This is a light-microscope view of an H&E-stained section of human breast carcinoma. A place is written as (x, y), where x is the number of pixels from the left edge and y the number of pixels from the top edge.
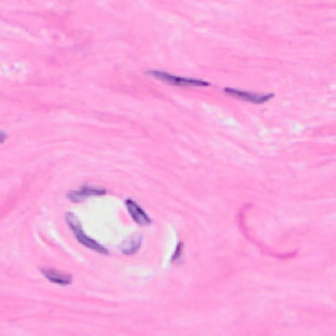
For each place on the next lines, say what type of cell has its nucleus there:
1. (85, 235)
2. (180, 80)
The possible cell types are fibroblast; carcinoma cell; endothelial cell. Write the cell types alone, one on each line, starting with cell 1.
endothelial cell
fibroblast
